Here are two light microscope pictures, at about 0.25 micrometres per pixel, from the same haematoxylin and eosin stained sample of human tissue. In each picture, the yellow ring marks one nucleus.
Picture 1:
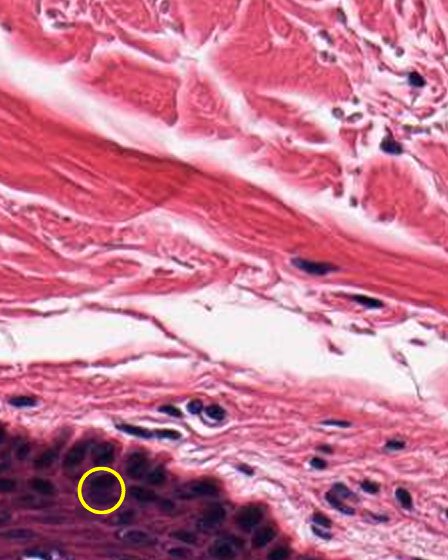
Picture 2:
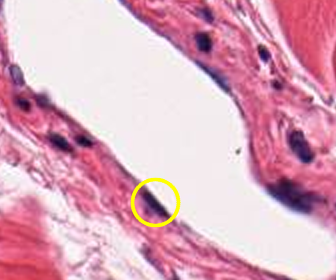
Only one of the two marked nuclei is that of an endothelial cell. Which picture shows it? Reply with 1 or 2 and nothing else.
2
